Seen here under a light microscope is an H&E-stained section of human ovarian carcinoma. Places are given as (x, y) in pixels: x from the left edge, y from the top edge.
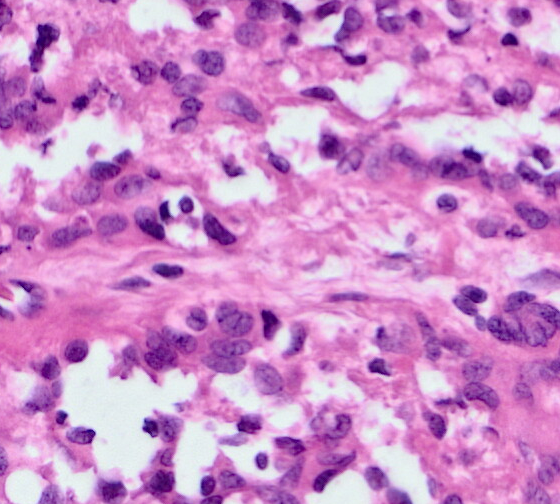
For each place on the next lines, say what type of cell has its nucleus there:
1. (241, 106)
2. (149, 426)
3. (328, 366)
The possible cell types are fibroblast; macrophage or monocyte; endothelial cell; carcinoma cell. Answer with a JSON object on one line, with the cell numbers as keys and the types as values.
{"1": "endothelial cell", "2": "carcinoma cell", "3": "macrophage or monocyte"}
